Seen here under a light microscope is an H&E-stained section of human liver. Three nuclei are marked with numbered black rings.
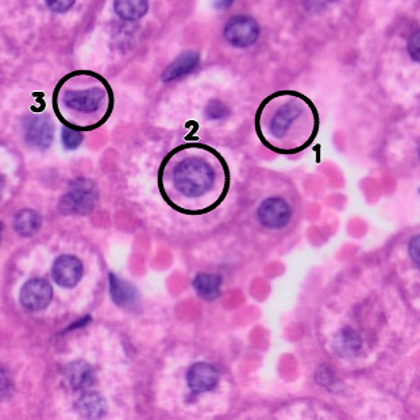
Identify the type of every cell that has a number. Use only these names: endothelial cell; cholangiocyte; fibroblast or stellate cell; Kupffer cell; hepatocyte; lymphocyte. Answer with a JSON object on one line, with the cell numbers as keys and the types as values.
{"1": "Kupffer cell", "2": "hepatocyte", "3": "Kupffer cell"}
